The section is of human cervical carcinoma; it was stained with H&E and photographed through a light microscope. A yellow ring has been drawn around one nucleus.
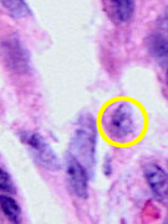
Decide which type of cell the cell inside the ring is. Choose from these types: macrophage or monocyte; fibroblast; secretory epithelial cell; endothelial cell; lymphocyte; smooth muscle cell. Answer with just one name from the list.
macrophage or monocyte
